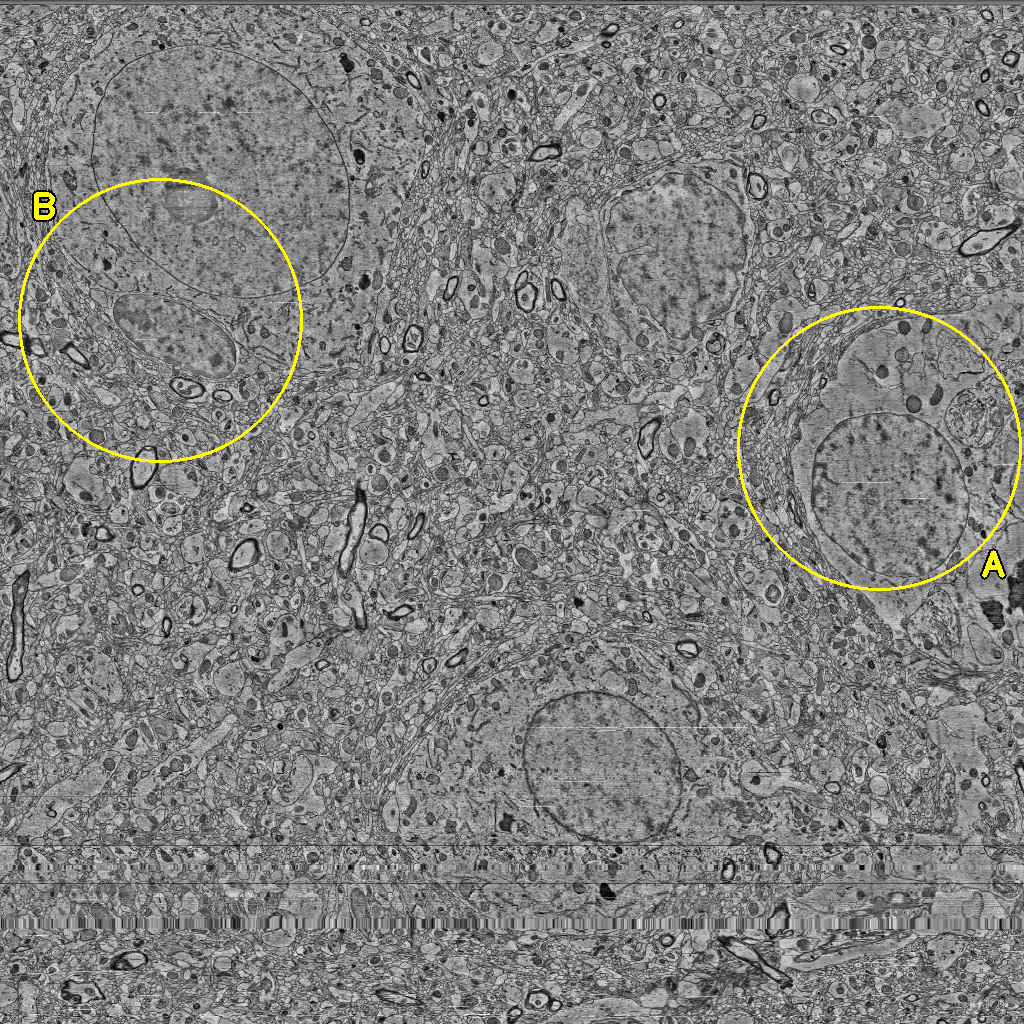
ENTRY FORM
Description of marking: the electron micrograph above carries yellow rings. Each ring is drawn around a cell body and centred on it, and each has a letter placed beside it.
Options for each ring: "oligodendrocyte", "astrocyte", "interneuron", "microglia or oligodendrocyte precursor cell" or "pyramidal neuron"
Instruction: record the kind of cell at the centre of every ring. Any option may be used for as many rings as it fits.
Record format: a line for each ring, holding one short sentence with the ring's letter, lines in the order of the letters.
Ring A surrounds the cell body of an astrocyte.
Ring B surrounds the cell body of a microglial cell or oligodendrocyte precursor cell.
